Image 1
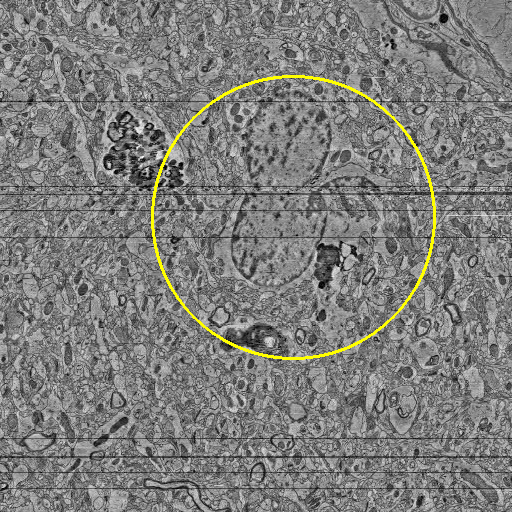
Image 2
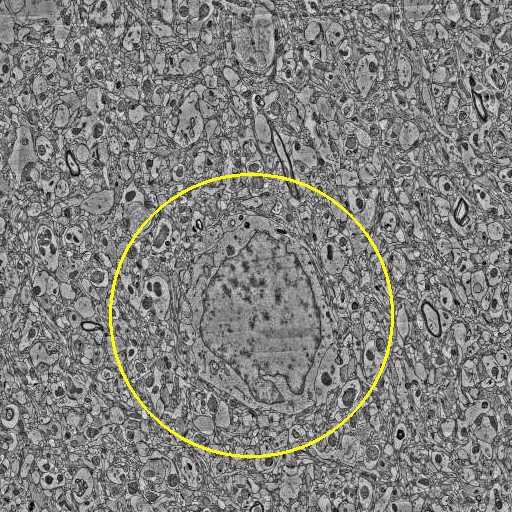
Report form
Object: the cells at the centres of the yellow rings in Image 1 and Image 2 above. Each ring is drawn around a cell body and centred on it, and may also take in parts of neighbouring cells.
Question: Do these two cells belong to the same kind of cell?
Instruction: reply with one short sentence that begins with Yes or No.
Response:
No, they belong to two kinds of cell.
